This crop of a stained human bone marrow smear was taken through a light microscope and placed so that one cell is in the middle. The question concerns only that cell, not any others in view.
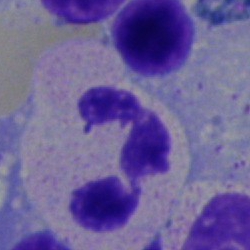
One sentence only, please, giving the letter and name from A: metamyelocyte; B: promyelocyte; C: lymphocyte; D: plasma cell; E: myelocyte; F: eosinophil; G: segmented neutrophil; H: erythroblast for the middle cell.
The cell in the center of this crop is a segmented neutrophil, so option G is the one to pick.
